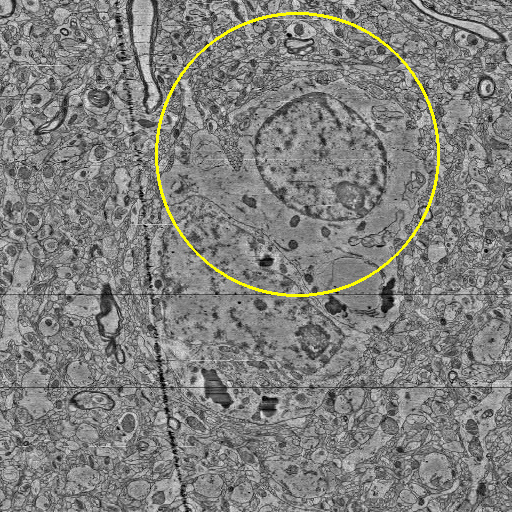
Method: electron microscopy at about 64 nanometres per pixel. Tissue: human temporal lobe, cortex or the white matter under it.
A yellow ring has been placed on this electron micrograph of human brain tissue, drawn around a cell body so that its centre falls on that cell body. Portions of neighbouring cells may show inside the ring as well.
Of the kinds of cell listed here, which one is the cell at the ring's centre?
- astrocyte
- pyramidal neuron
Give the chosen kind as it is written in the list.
astrocyte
